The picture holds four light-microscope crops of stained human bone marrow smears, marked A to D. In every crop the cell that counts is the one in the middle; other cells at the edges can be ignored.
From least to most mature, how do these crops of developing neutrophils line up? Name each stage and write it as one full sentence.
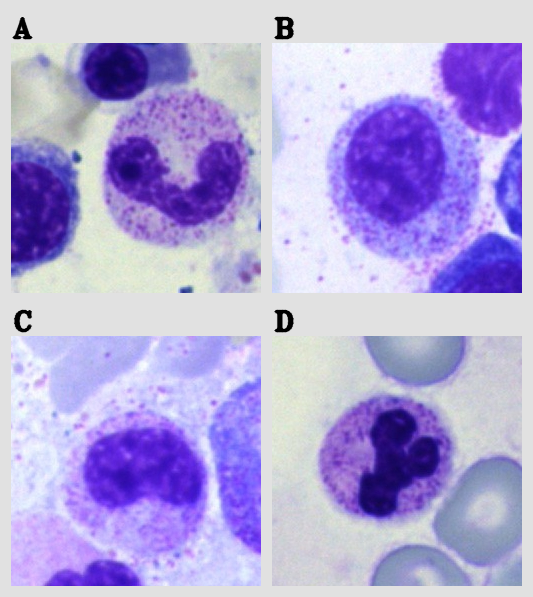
Ordering the crops by maturity, least first, gives crop B (a myelocyte), crop C (a metamyelocyte), crop A (a band neutrophil) and crop D (a segmented neutrophil).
